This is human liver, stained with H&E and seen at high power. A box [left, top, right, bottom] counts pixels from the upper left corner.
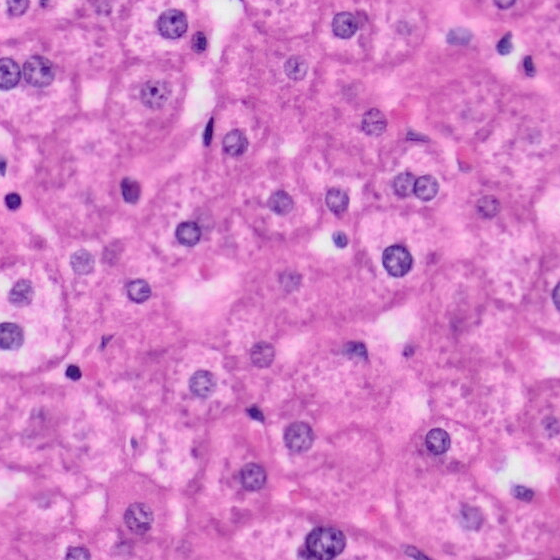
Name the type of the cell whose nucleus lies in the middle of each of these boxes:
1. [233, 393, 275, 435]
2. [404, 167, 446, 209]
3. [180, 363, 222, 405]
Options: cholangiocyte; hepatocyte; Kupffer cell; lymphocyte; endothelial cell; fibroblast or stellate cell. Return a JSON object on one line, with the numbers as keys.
{"1": "fibroblast or stellate cell", "2": "hepatocyte", "3": "hepatocyte"}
